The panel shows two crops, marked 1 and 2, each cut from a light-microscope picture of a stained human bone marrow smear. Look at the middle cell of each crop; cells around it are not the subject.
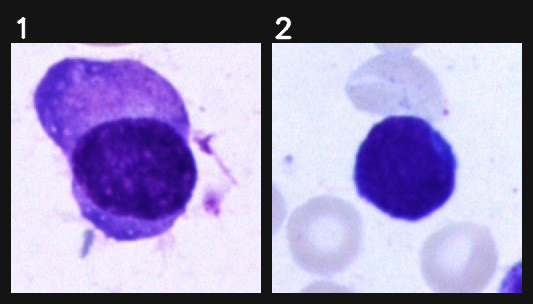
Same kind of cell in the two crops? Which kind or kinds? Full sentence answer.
No, crop 1 displays a plasma cell and crop 2 displays a lymphocyte.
